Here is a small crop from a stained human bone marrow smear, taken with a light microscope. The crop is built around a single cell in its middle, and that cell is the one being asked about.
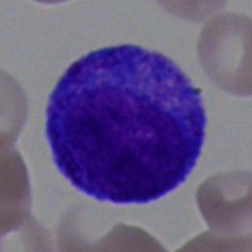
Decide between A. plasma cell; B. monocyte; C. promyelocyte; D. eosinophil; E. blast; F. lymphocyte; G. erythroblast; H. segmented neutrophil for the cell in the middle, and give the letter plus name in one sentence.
Occupying the middle of the crop is a promyelocyte, hence option C is correct.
